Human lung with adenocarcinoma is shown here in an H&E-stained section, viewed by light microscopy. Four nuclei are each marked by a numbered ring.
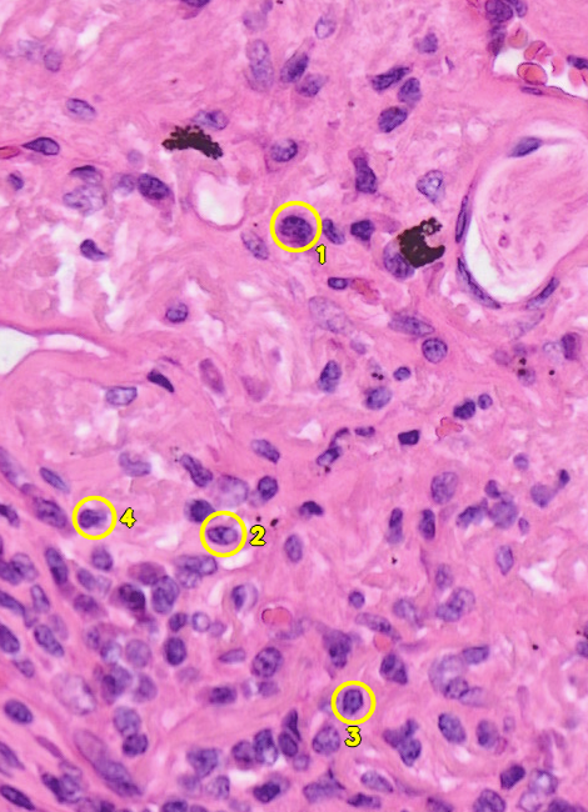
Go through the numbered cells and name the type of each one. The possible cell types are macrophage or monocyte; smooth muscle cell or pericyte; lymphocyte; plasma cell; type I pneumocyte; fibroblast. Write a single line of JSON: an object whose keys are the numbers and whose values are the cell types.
{"1": "plasma cell", "2": "lymphocyte", "3": "lymphocyte", "4": "lymphocyte"}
